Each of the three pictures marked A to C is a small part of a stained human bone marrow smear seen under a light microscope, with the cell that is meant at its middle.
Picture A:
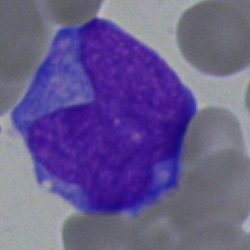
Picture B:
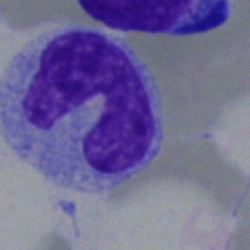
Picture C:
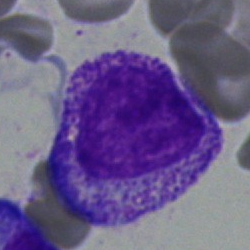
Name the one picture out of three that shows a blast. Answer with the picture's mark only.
A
